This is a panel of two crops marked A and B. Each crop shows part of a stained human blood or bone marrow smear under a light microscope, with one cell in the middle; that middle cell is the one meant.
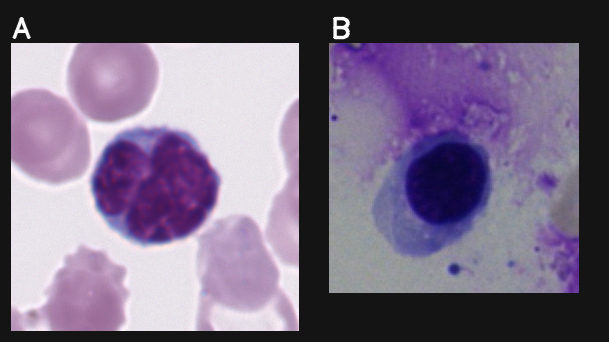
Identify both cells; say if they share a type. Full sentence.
No, crop A carries a lymphocyte and crop B carries an erythroblast.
